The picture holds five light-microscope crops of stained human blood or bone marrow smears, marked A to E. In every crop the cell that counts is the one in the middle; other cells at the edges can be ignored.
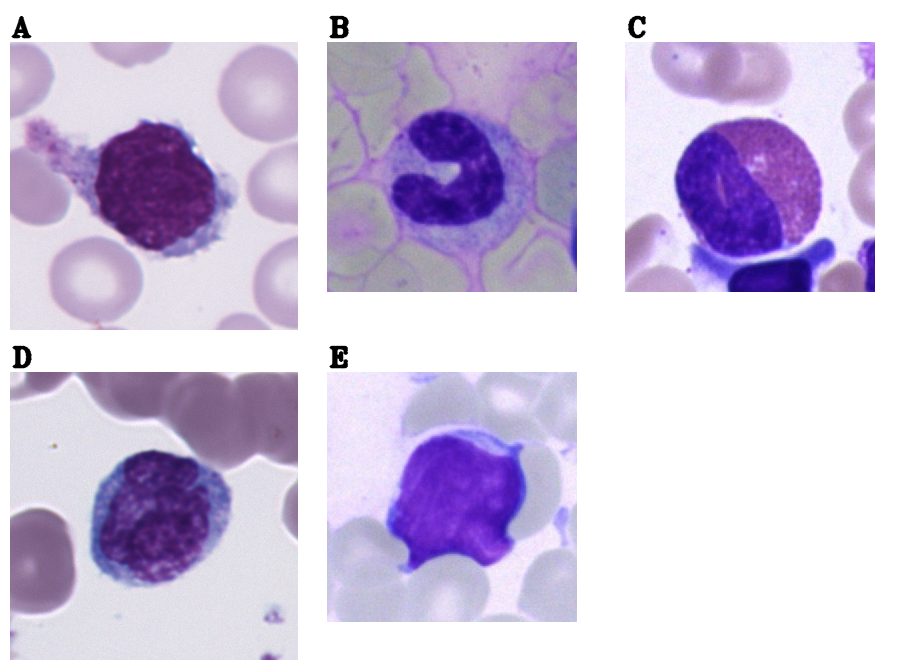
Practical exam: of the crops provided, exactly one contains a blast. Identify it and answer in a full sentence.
The crop bearing a blast is crop E.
